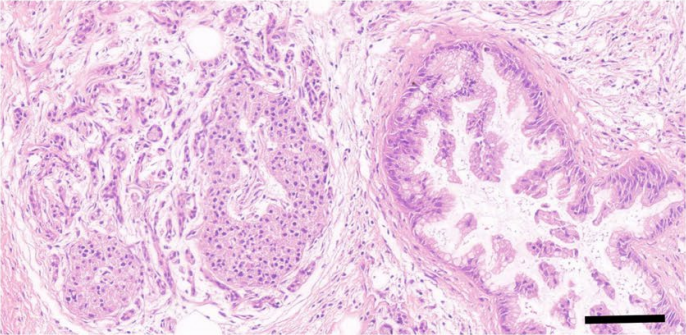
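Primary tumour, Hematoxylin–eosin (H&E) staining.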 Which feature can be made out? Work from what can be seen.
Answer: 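Nest-like pattern. Rounded nests of tumour cells sit in a fibrous stroma on the left. A gland-like space lined by folded epithelium is on the right.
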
